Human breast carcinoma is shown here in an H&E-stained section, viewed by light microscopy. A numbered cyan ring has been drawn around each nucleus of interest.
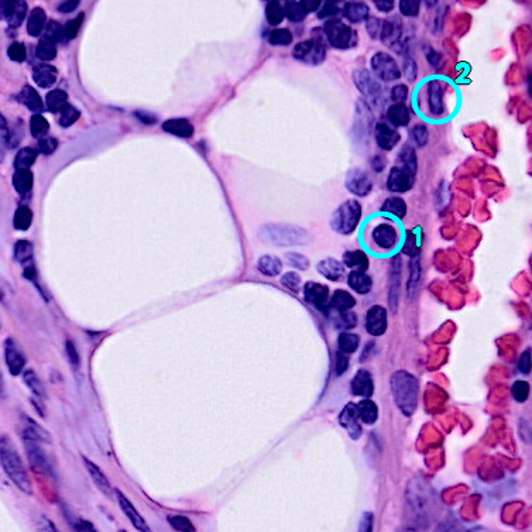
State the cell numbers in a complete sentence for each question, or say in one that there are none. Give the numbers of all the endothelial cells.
Cell 2 is an endothelial cell, which is true of none of the other numbered cells.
